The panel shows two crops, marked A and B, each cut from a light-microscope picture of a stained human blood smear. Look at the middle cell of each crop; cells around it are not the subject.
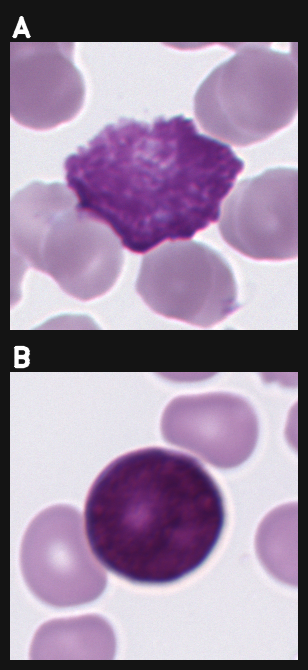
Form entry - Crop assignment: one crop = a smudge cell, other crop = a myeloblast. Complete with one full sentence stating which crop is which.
Well, crop A is a smudge cell, and crop B is a myeloblast.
